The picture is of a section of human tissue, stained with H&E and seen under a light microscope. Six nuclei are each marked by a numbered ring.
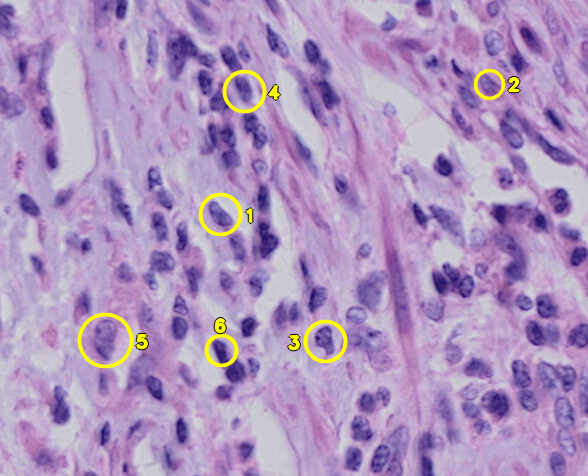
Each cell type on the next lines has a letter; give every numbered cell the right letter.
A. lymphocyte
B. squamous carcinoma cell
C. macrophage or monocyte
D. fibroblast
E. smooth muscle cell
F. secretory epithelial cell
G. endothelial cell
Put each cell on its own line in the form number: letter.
1: A
2: E
3: A
4: A
5: G
6: A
